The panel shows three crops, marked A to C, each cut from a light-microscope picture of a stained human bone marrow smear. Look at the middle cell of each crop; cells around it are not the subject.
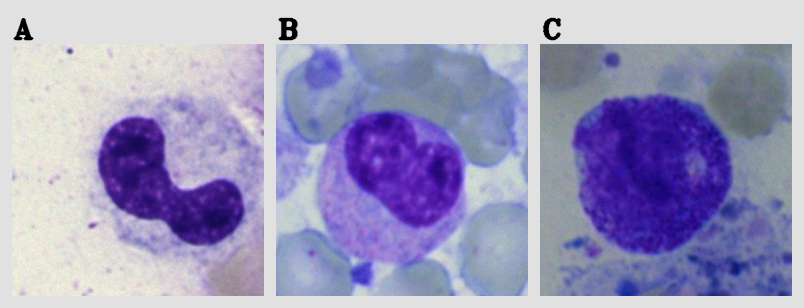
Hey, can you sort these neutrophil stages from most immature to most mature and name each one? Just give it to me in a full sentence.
Along the maturation line, from least to most mature, sit crop C (a promyelocyte), crop B (a metamyelocyte) and crop A (a band neutrophil).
